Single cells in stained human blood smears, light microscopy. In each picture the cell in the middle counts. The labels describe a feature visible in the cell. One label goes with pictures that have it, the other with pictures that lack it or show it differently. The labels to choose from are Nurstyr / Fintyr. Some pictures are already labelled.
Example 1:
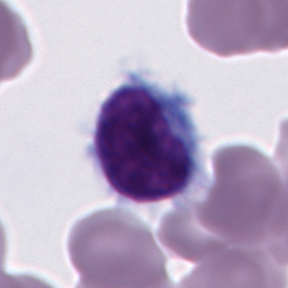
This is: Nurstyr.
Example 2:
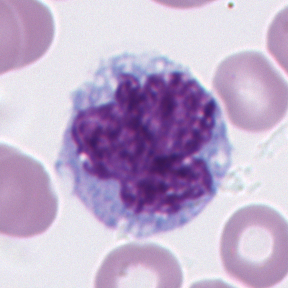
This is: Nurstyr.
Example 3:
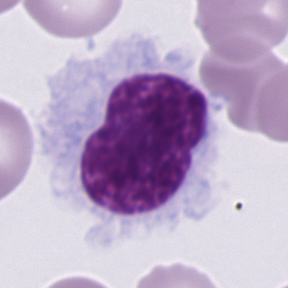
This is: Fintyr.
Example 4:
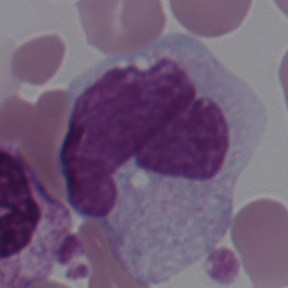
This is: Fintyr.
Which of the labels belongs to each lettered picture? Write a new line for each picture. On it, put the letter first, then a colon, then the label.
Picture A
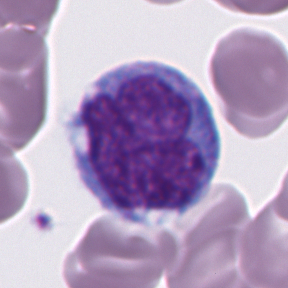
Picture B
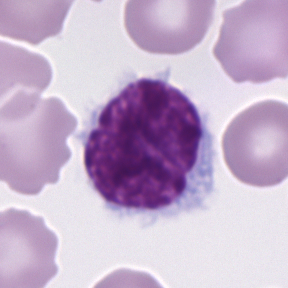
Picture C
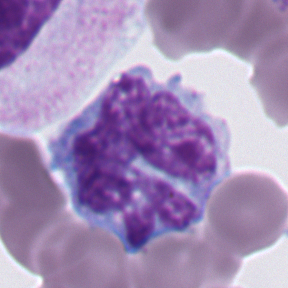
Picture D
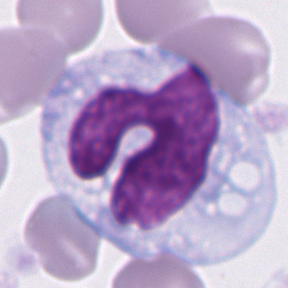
A: Nurstyr.
B: Nurstyr.
C: Nurstyr.
D: Fintyr.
